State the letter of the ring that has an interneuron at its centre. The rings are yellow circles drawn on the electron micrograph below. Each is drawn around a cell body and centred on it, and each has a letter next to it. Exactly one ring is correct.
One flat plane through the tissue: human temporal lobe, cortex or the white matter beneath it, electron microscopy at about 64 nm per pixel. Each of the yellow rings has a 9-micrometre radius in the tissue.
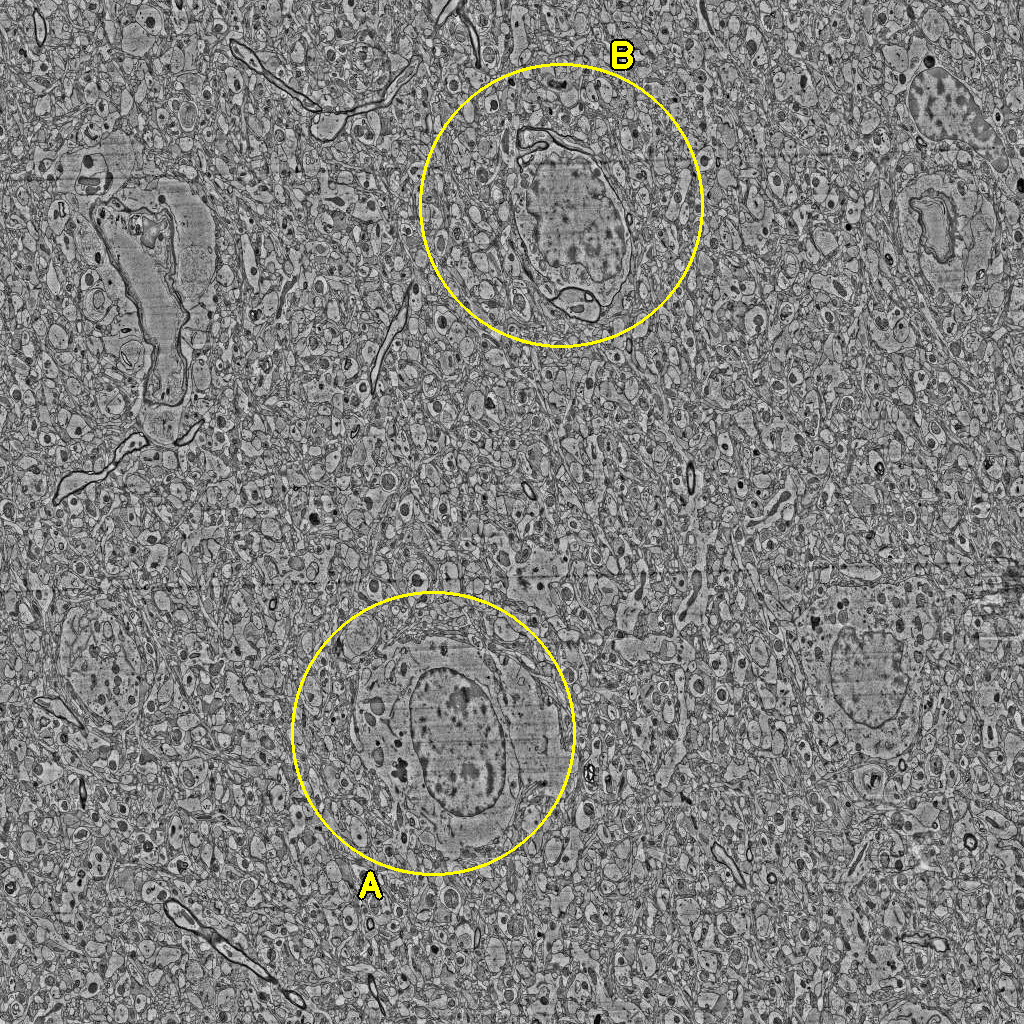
B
